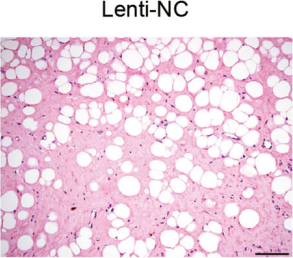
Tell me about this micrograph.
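This section shows pink fibrous tissue containing adipocytes, seen as empty white round vacuoles of varying size. The adipocytes are scattered rather than tightly packed, with broad areas of pale pink stroma between groups of them. Small dark purple nuclei are dotted through the stroma. Larger vacuoles and small ones lie side by side without a regular arrangement.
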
